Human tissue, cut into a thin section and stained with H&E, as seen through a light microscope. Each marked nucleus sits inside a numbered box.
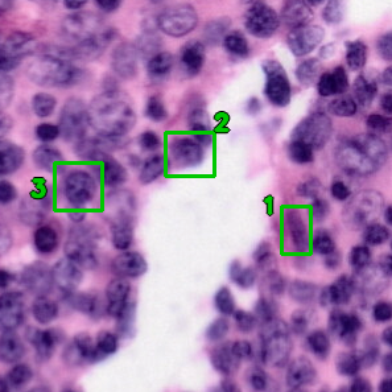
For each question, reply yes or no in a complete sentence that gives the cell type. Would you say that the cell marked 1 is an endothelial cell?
Yes, cell 1 among the marked cells is an endothelial cell.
